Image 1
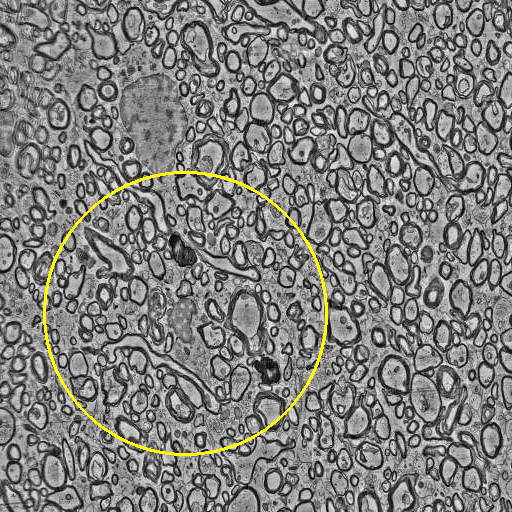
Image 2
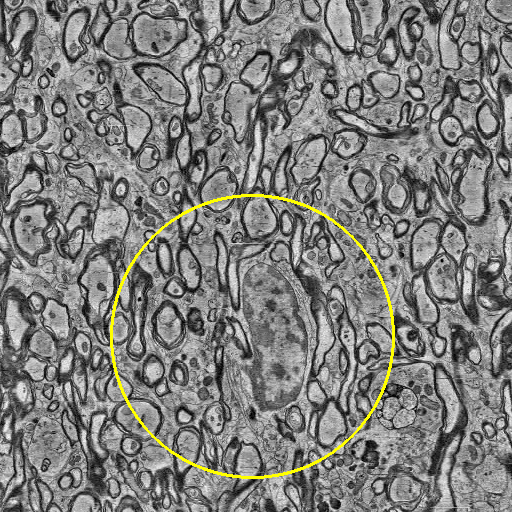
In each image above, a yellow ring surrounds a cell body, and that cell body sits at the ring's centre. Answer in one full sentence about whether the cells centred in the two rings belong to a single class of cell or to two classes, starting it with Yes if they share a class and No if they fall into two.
No, the cells centred in the two yellow rings belong to two classes of cell.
